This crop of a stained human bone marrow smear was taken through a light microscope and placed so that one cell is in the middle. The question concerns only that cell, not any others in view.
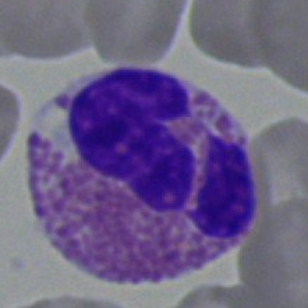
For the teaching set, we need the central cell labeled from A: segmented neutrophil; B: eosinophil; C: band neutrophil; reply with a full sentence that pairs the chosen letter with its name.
The central cell of the crop is an eosinophil, which makes B the correct option.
